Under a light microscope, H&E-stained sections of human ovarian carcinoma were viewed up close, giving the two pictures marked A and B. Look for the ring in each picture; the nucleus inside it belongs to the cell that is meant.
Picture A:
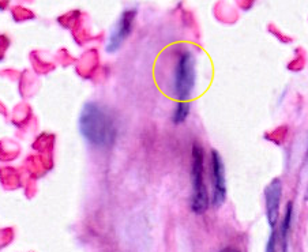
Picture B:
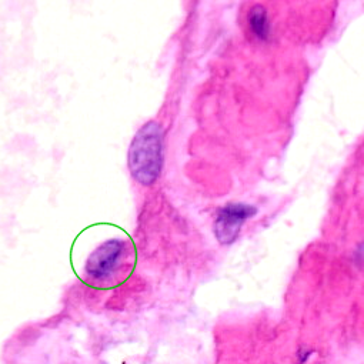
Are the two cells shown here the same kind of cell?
yes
